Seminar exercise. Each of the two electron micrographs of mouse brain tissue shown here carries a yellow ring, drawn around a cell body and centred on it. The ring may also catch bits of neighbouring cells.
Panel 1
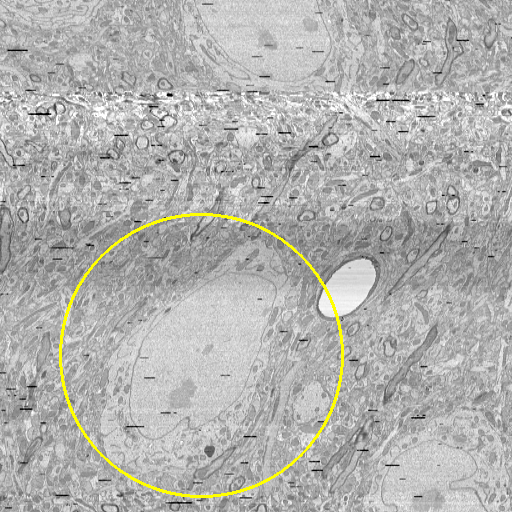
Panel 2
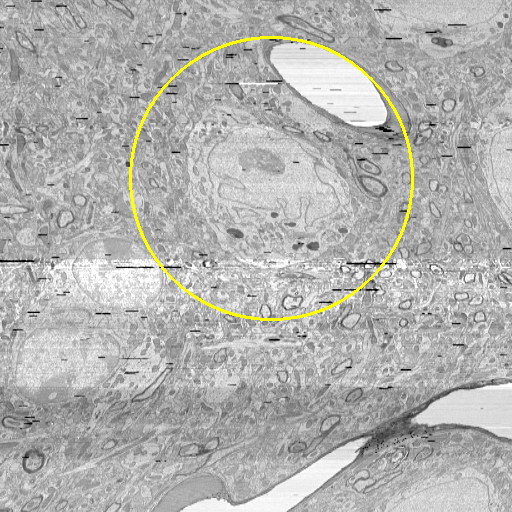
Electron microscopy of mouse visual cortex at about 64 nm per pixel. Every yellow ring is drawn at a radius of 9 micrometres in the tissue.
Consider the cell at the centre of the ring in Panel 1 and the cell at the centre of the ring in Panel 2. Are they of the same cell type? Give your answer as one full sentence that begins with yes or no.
No, the two cells are of two types.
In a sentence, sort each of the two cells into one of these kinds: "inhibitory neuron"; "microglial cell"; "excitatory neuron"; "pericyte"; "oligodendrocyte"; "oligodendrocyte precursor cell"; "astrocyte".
The first of the two cells is an excitatory neuron, and the second is an inhibitory neuron.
